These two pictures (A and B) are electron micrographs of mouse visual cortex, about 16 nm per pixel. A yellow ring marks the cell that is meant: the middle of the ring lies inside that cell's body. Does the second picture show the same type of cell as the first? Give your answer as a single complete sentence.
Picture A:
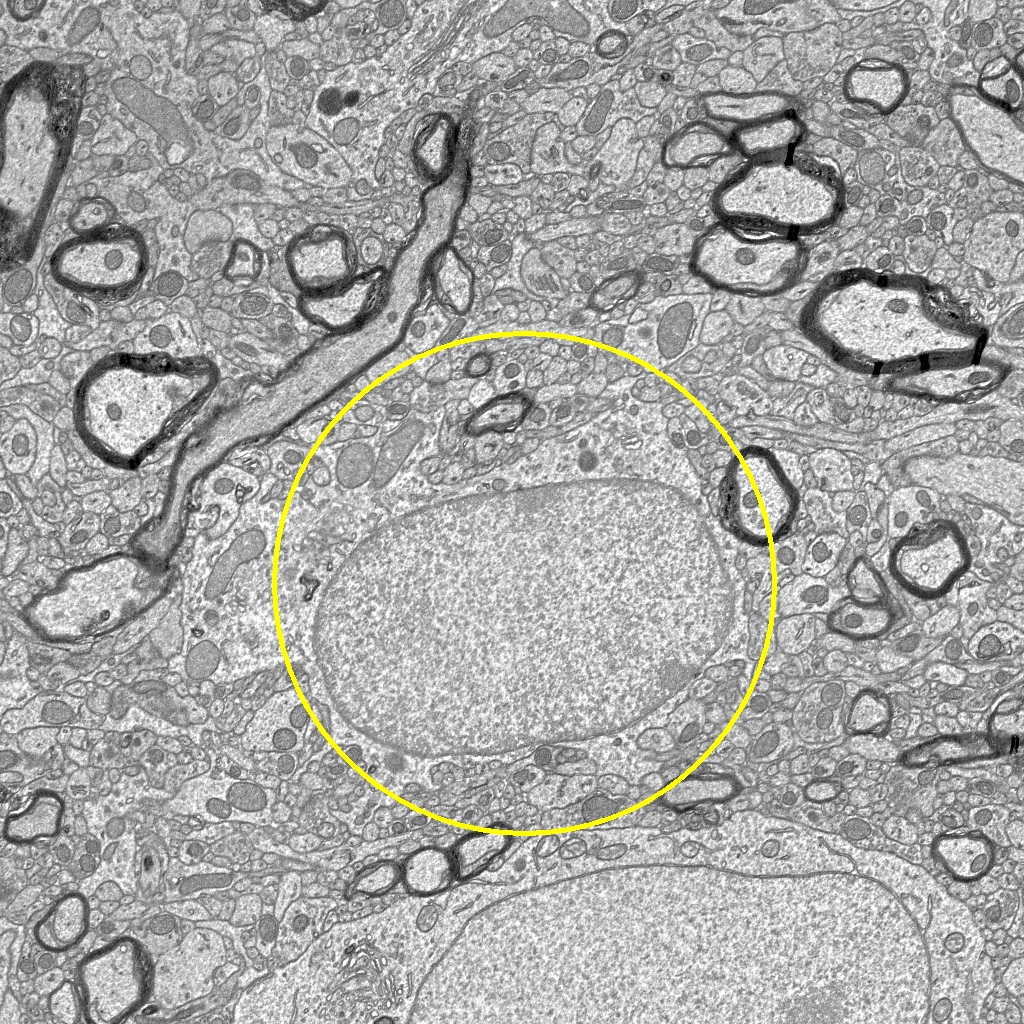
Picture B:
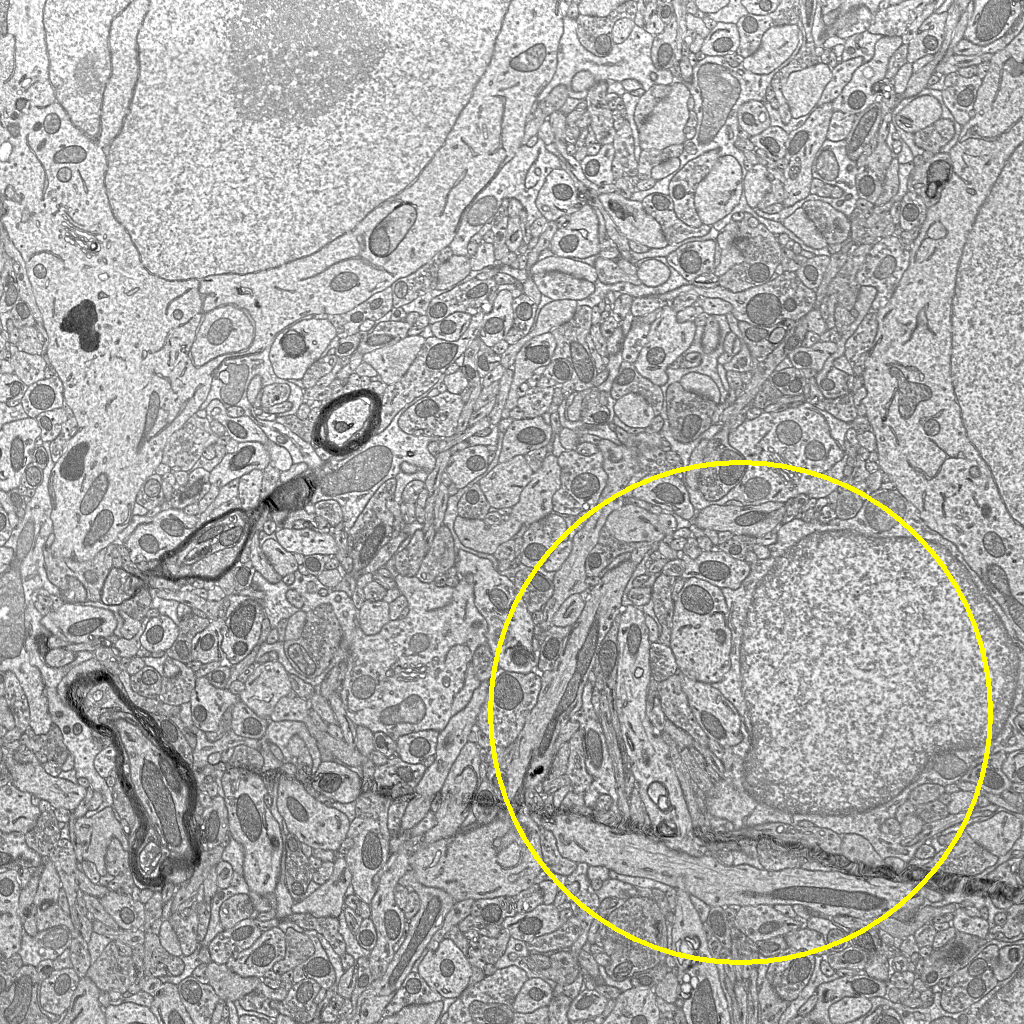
Yes, they are the same type: both are astrocytes.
